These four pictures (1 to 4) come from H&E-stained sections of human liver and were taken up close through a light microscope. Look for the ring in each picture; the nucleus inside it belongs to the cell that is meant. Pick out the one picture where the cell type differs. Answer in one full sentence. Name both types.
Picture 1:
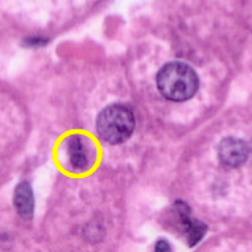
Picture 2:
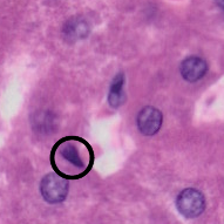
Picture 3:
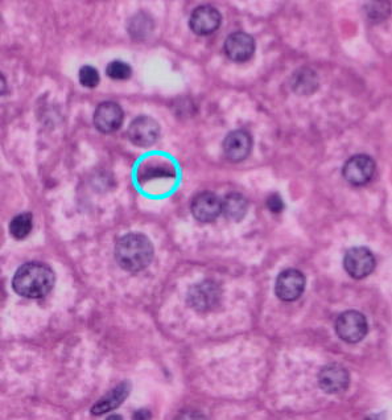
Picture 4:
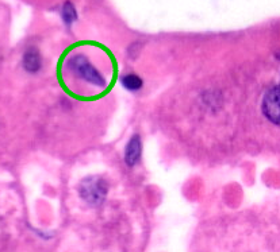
Picture 3 is the odd one out: it shows an endothelial cell, while the others show “fibroblasts or stellate cells”.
